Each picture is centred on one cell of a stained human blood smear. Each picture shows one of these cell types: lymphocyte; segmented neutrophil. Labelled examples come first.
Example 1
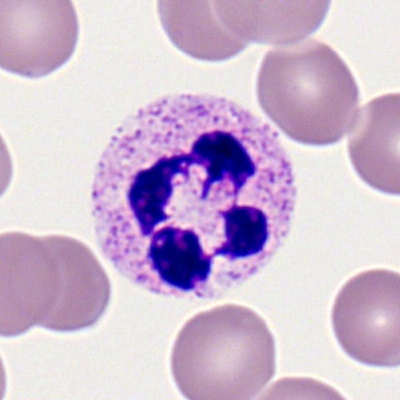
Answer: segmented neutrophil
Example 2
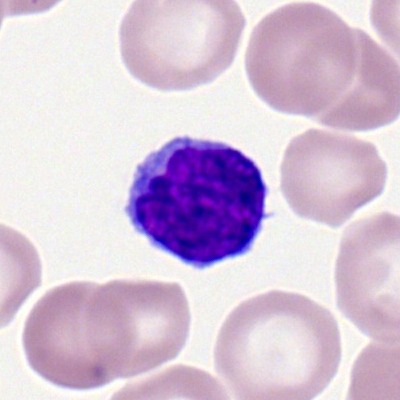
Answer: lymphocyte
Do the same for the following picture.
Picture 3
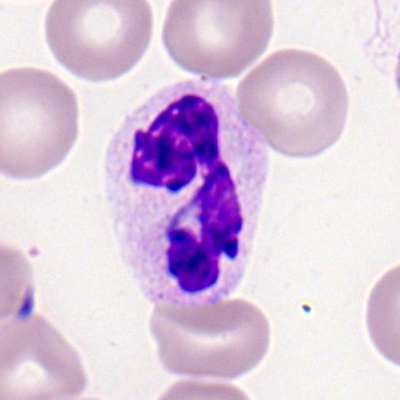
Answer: segmented neutrophil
